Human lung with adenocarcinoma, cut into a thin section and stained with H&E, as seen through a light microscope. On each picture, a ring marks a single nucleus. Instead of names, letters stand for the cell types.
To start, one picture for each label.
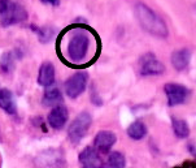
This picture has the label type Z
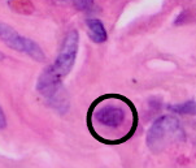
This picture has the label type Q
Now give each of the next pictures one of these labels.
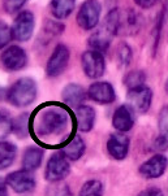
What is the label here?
type Z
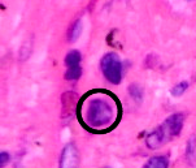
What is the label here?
type Q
